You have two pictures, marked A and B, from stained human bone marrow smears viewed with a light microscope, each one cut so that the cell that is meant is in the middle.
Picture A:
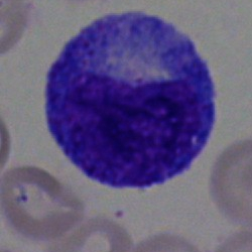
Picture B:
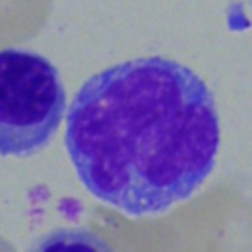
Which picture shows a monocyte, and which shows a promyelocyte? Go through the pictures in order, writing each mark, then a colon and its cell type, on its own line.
A: promyelocyte
B: monocyte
